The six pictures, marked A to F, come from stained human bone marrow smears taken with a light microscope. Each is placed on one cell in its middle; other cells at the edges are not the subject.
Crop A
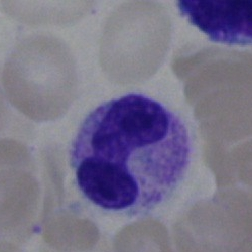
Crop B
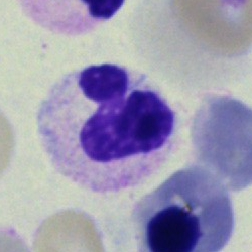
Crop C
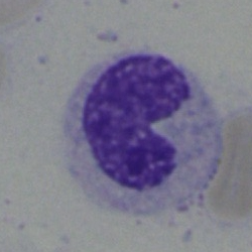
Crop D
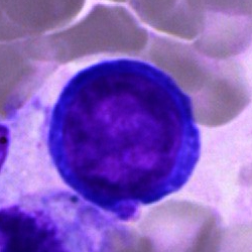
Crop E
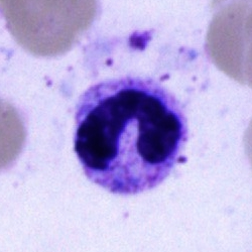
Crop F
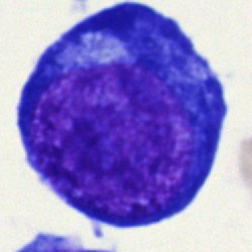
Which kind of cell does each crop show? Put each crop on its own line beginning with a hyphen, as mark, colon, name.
- A: band neutrophil
- B: band neutrophil
- C: band neutrophil
- D: proerythroblast
- E: band neutrophil
- F: proerythroblast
